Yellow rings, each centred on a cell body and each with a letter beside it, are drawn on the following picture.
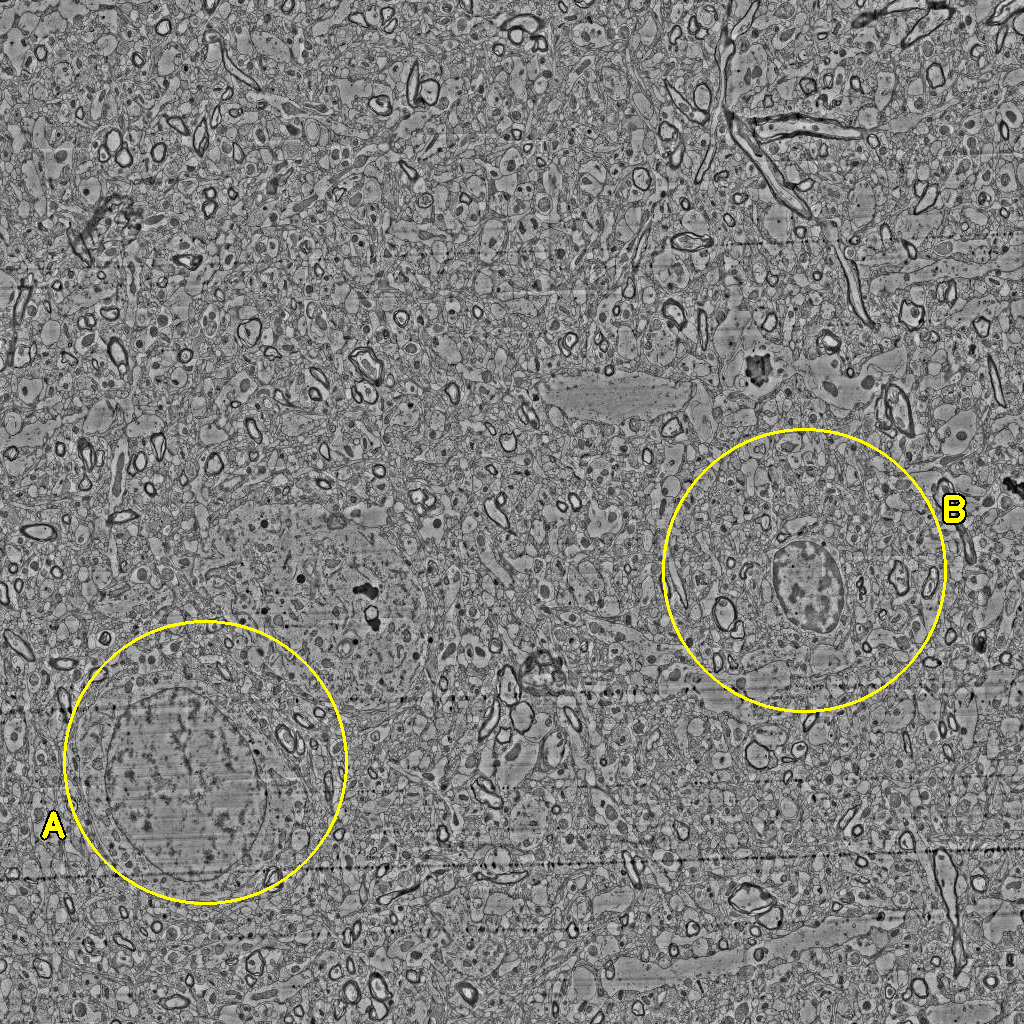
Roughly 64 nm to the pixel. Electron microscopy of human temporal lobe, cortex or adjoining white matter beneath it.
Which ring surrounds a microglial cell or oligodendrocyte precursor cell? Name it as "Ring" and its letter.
Ring B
